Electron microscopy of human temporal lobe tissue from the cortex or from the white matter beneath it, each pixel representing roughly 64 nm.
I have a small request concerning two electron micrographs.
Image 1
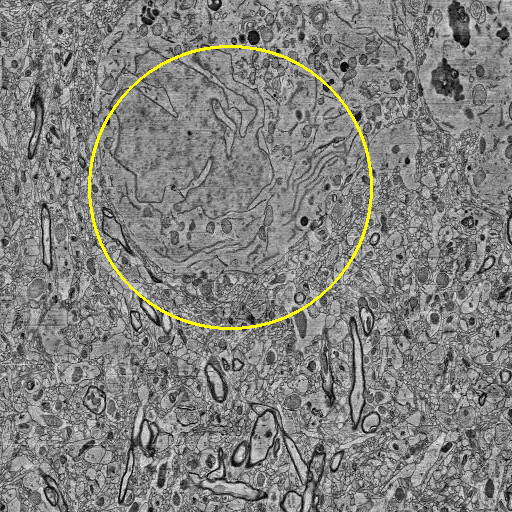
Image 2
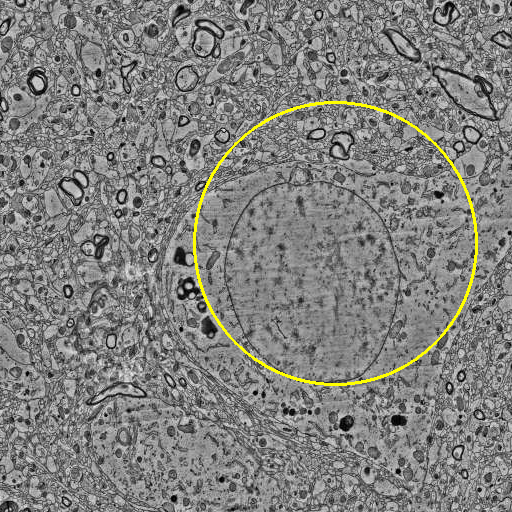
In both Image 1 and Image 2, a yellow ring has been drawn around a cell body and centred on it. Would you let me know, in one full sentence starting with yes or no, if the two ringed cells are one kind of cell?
No, the cells ringed in Image 1 and Image 2 are two kinds of cell.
